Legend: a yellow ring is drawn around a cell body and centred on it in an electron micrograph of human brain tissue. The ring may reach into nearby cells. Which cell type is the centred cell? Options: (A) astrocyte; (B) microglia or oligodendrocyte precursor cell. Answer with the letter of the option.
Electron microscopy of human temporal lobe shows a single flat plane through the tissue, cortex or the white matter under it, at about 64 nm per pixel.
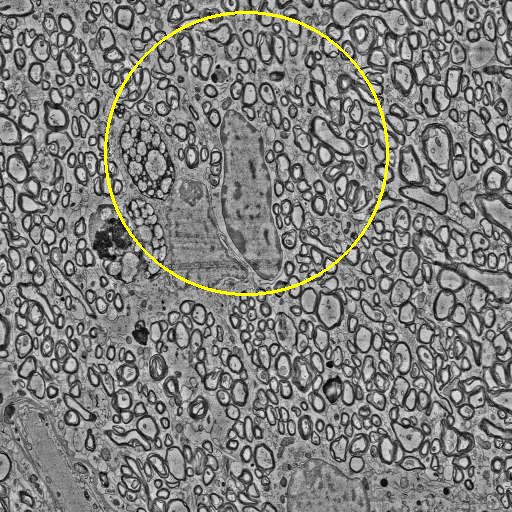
B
